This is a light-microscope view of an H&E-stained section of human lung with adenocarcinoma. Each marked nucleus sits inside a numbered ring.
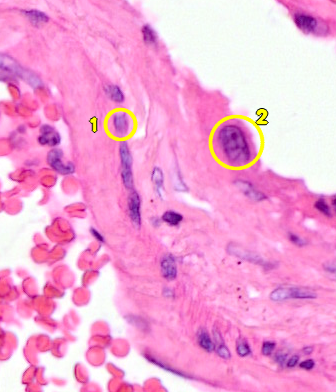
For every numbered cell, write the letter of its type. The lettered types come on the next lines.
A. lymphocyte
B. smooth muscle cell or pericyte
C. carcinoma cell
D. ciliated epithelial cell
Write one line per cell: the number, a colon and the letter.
1: B
2: C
